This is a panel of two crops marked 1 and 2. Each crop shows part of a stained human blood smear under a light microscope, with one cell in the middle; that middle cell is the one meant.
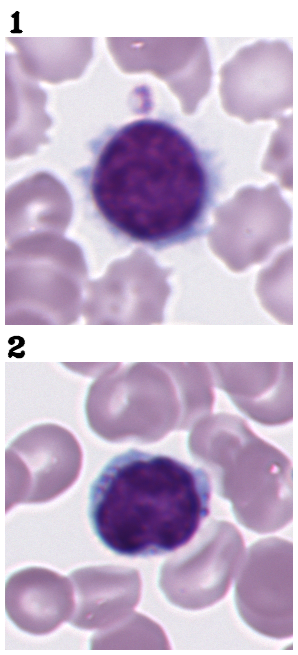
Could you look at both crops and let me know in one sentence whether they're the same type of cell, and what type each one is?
No, crop 1 contains a hairy cell, whereas crop 2 contains a typical lymphocyte.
